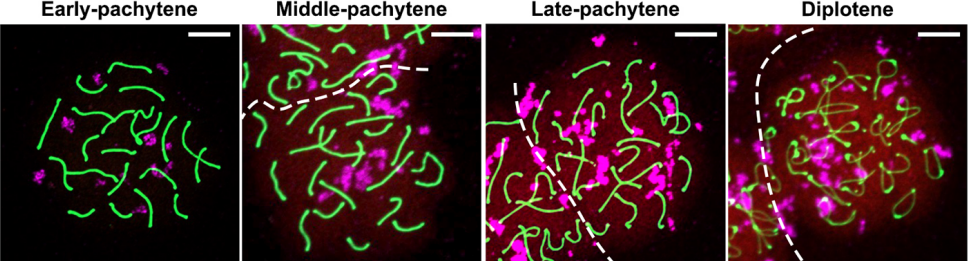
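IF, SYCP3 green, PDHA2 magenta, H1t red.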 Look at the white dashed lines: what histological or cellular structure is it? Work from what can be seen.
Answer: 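Dashed curves separate one spread of green chromosome threads from a neighbouring region of a different spread. So: boundary between two adjacent nuclei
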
